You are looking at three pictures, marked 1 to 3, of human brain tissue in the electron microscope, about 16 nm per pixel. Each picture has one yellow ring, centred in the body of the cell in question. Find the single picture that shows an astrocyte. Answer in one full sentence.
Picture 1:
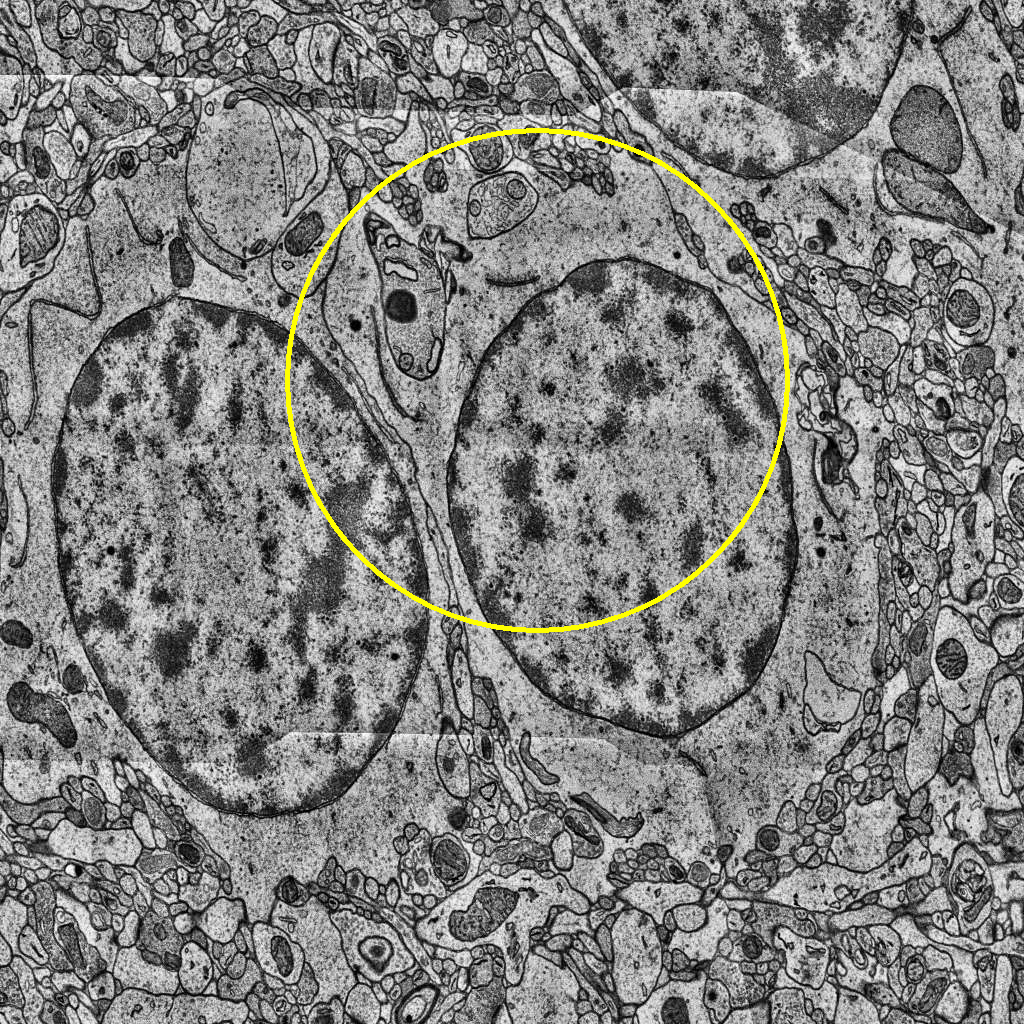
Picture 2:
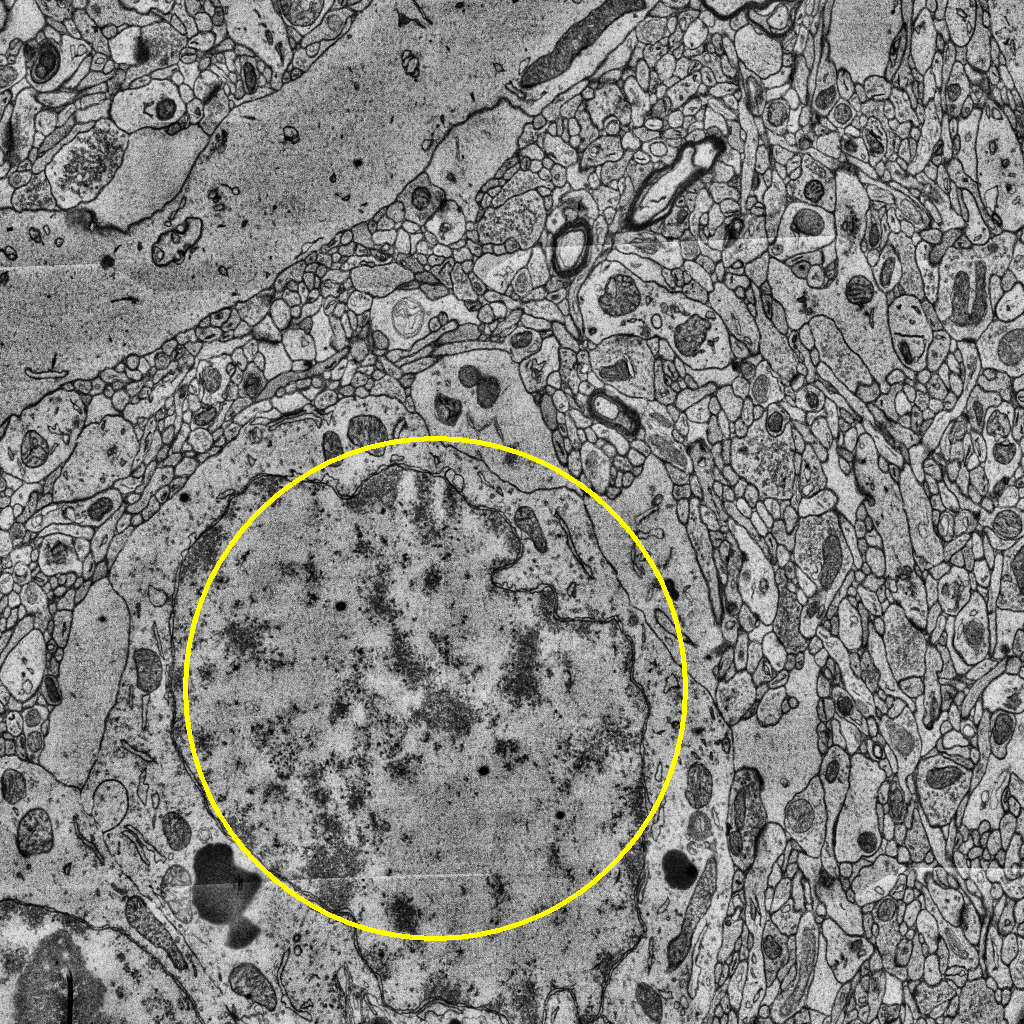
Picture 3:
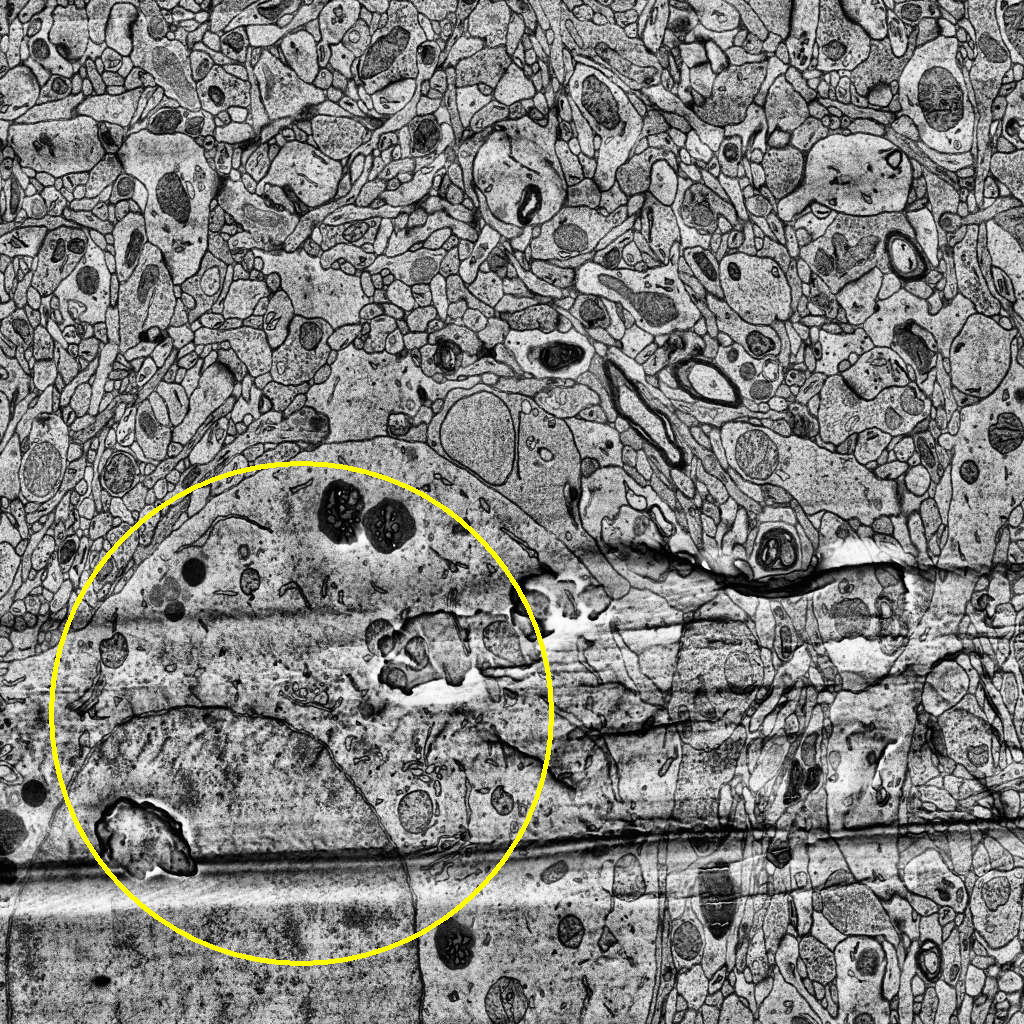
The picture with the astrocyte is 1.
